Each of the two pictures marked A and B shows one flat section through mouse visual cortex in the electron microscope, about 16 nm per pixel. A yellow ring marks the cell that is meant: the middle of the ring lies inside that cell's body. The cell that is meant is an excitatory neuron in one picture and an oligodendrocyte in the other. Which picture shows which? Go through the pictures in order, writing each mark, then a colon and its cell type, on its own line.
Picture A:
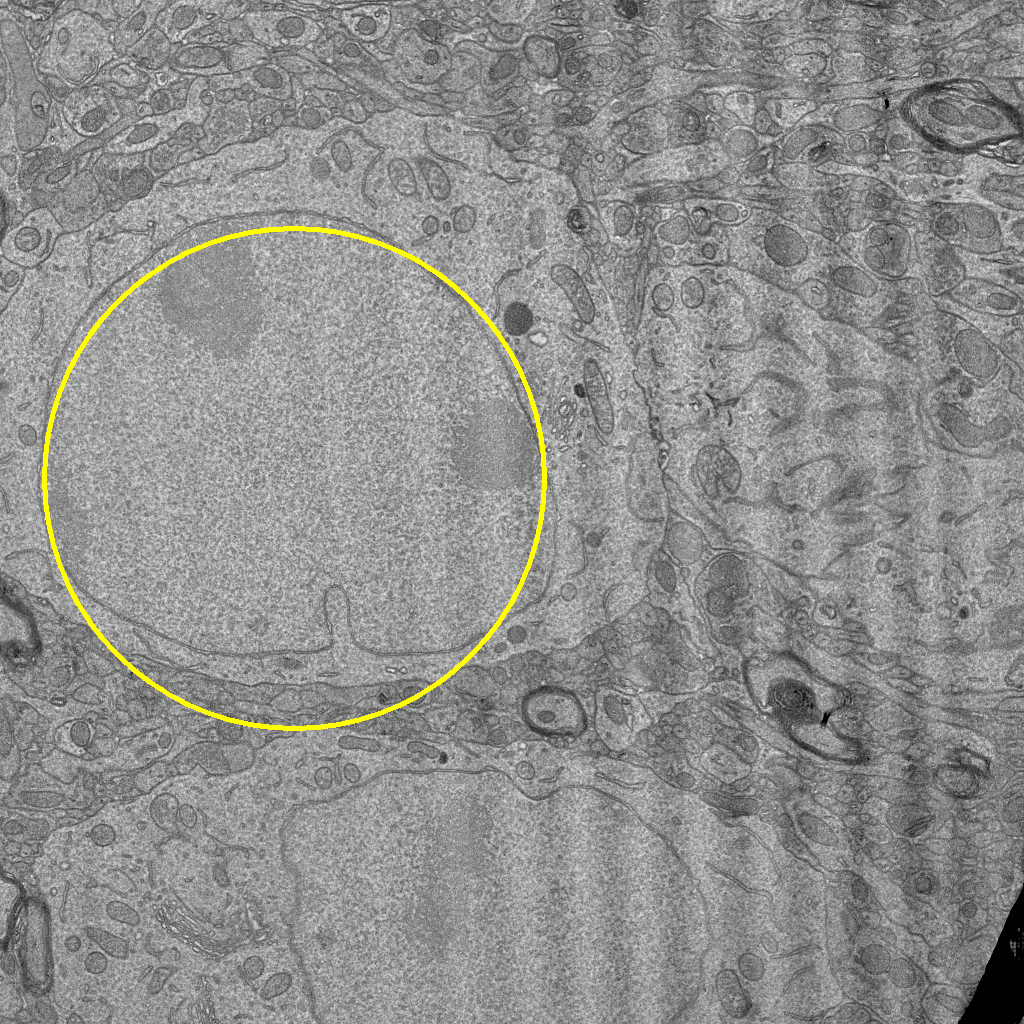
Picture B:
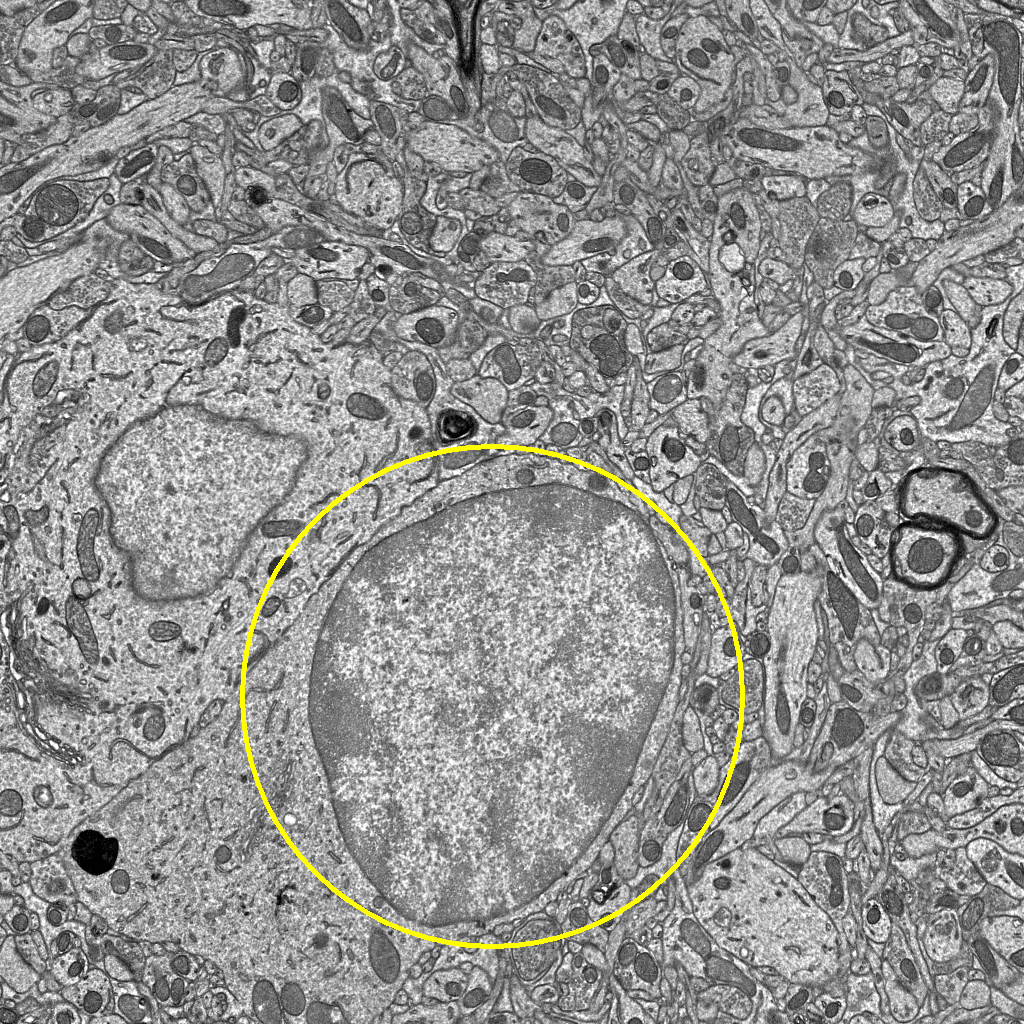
A: excitatory neuron
B: oligodendrocyte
